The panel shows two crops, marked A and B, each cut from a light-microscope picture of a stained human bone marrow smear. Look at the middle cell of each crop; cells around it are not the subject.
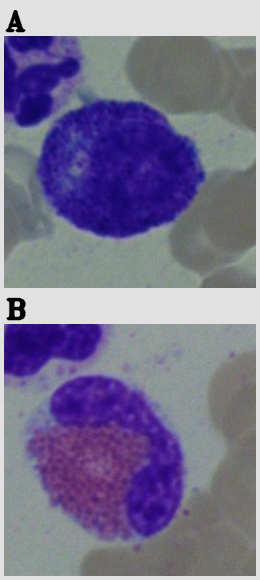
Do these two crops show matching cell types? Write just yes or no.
no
